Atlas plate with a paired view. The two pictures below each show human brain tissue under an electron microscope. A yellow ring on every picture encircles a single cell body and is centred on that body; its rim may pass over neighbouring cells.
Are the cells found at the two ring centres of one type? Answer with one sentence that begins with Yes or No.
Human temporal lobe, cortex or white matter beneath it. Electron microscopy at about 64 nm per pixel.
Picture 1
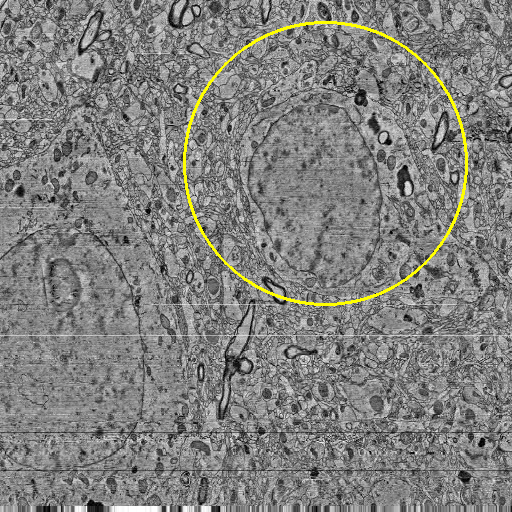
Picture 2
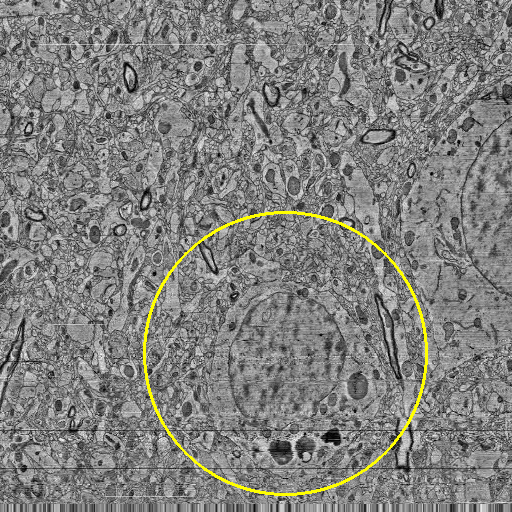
Yes, the two cells lying at the centres of the rings share a single type.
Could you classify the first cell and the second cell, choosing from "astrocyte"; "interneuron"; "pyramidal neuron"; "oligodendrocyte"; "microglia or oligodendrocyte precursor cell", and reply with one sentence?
The first and the second cell are each an interneuron.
